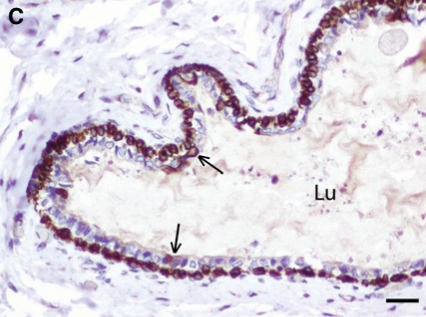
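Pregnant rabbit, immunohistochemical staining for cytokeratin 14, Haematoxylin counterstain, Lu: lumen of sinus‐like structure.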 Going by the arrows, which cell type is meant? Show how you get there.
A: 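The arrows point to cells on the inner, lumen-facing side of the two-layered lining. The cells pointed to lie inside the continuous dark outer band. That points to this answer: luminal cells.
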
